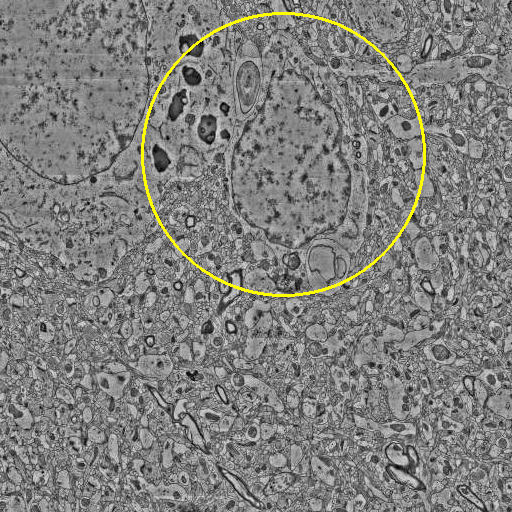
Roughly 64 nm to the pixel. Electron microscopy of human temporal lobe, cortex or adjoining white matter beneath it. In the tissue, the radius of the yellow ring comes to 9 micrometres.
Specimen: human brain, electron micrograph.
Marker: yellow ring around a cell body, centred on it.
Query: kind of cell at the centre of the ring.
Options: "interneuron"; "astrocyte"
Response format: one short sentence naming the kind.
This cell body belongs to an interneuron.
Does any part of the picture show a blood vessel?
No, no vessel shows anywhere in the image.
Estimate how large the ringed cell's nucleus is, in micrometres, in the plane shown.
The nucleus is approximately 11 micrometers long by 8 micrometers wide in this plane.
